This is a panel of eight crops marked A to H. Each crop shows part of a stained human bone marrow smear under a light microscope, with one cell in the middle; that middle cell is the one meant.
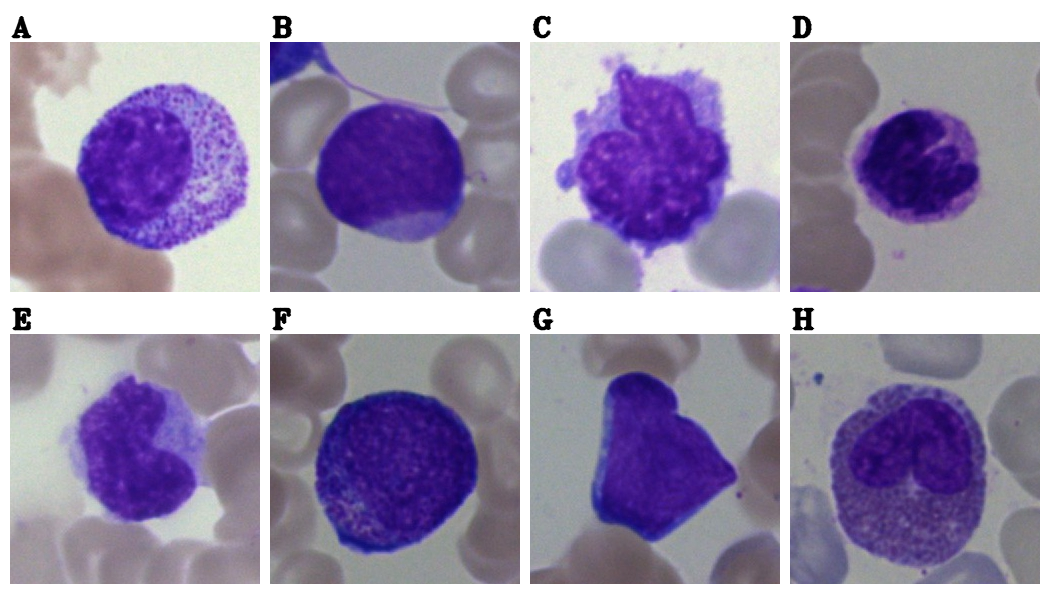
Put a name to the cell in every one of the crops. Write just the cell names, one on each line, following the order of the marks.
myelocyte
blast
monocyte
basophil
monocyte
promyelocyte
blast
eosinophil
